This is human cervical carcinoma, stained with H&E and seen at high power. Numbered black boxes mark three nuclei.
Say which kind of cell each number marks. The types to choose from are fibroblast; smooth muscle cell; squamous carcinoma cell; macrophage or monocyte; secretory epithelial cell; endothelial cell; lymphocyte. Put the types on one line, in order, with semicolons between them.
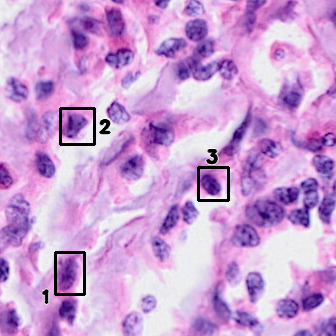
macrophage or monocyte; lymphocyte; lymphocyte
